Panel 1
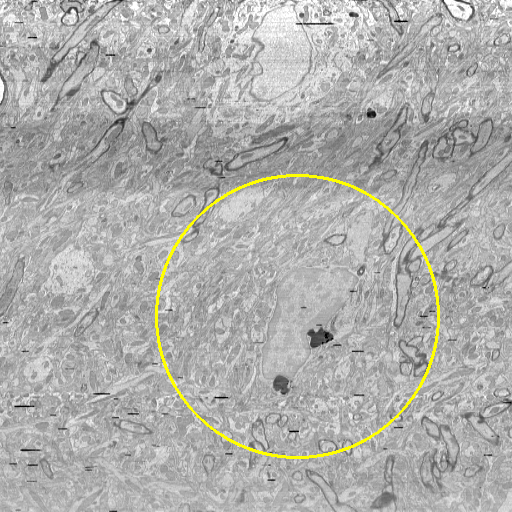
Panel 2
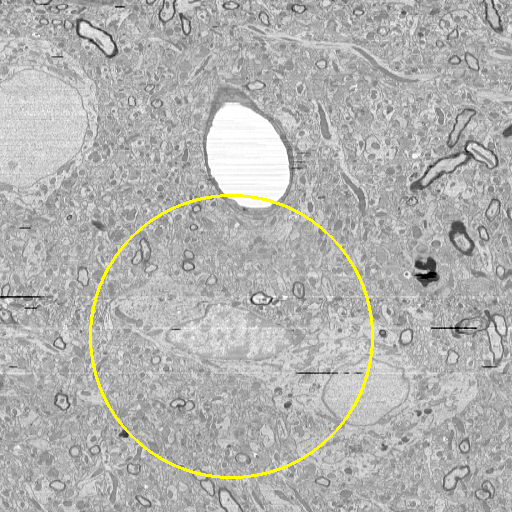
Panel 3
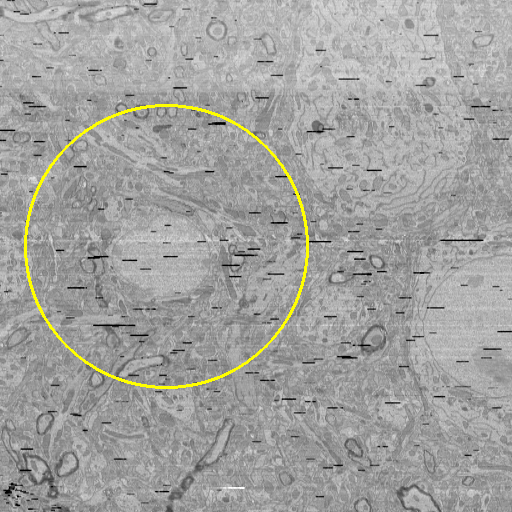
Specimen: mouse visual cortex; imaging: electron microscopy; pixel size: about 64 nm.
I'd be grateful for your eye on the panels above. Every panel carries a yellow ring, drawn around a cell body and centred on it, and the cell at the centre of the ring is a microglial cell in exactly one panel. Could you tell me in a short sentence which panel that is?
Panel 1 is the one with it at the centre of the ring.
